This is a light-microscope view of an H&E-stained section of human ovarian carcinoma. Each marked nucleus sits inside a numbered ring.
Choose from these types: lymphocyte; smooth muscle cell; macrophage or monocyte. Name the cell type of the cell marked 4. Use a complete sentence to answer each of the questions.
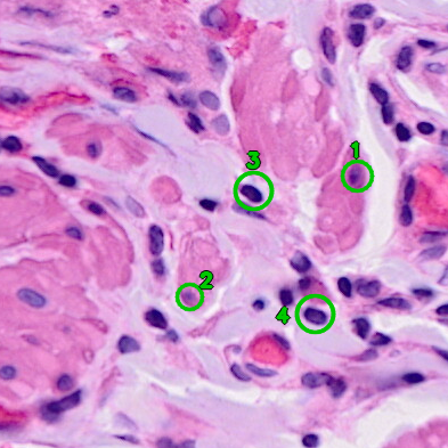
The cell whose nucleus carries the number 4 is a lymphocyte.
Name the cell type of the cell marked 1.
The cell identified by the number 1 is a smooth muscle cell.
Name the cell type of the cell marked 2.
Looking at the numbered marks, cell 2 is a smooth muscle cell.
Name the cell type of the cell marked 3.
The cell tagged with 3 in this tissue section is a lymphocyte.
